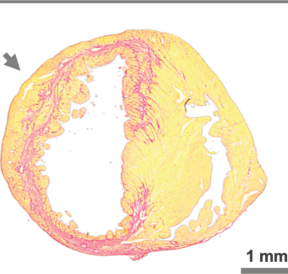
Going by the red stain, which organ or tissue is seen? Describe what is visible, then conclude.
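Red-stained streaks run through the wall on the side marked by the arrow.
Answer: fibrotic scar tissue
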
